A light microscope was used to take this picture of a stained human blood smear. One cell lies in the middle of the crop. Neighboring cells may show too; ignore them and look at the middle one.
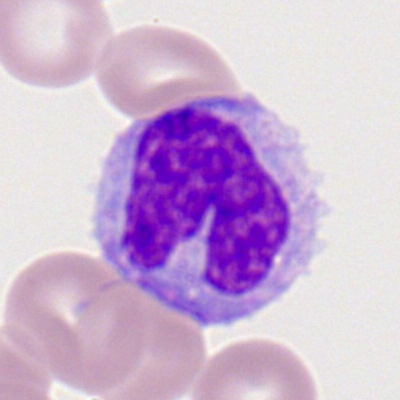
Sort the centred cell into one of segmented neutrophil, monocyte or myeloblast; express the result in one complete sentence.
The cell of interest, located centrally, is a monocyte.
